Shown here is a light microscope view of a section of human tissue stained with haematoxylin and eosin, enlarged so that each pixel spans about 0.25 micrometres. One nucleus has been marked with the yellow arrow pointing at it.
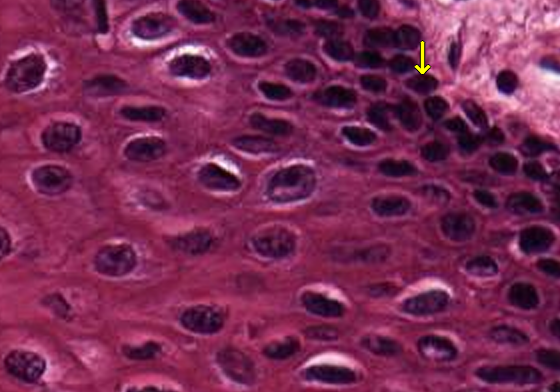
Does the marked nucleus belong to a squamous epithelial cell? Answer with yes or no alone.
yes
